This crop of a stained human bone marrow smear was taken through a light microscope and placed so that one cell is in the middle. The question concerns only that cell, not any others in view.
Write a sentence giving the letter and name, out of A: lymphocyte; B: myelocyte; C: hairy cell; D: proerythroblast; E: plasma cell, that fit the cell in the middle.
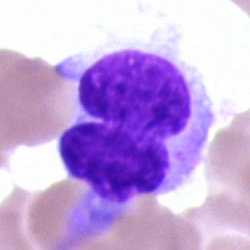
The cell at the centre, correctly named in option C, is a hairy cell.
